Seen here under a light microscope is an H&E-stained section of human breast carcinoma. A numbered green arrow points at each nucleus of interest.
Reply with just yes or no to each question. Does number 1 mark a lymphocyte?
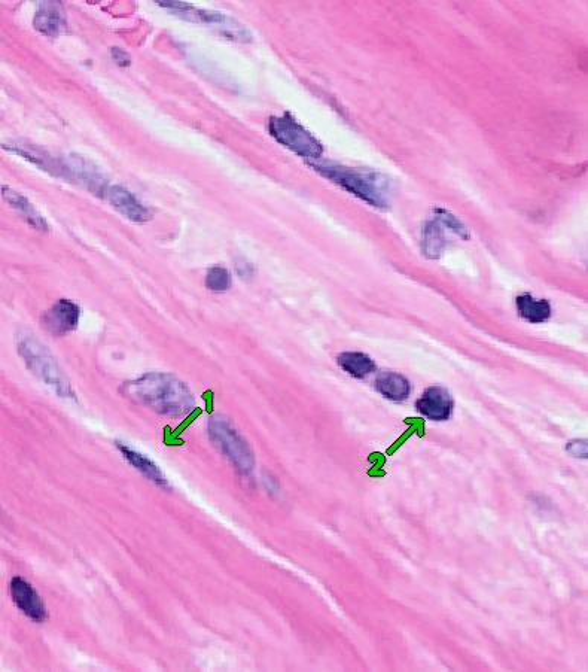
no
